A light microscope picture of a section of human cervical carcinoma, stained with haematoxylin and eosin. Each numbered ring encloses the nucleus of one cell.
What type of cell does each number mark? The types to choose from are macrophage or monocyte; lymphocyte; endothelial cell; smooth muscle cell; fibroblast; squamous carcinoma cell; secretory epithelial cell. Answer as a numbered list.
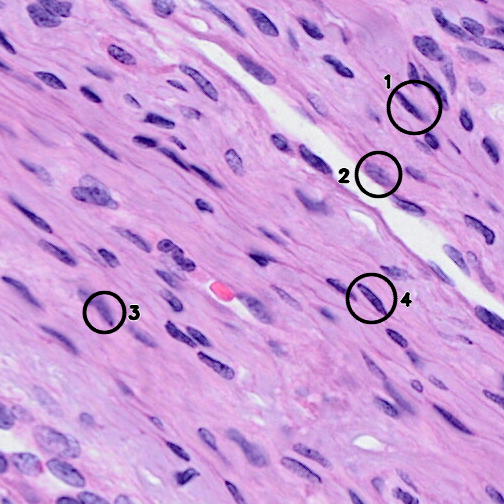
1. fibroblast
2. endothelial cell
3. fibroblast
4. fibroblast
